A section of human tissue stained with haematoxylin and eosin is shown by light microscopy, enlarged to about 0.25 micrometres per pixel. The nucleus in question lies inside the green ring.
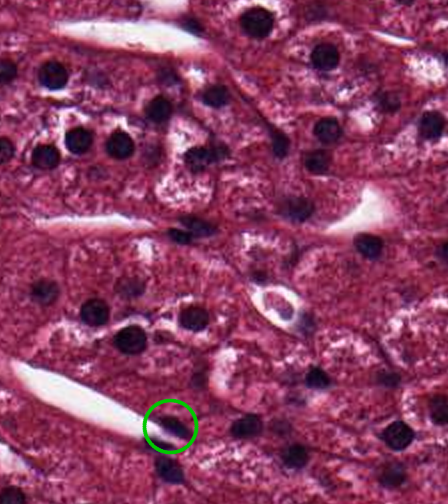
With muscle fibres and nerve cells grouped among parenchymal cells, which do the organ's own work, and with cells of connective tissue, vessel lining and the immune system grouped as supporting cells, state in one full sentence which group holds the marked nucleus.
In this field, the marked nucleus is the nucleus of a supporting cell.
